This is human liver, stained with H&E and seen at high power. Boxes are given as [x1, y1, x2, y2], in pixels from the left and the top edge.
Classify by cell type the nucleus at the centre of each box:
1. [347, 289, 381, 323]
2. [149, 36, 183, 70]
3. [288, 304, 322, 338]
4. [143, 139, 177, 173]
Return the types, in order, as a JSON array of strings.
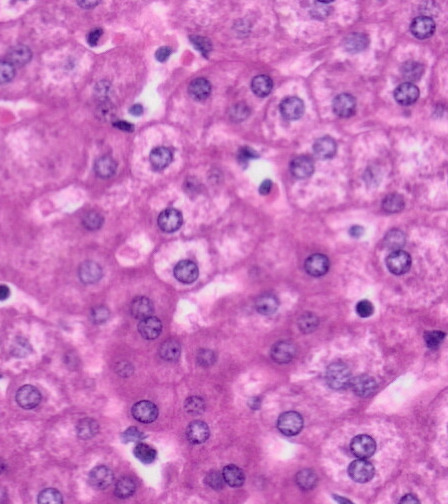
["lymphocyte", "lymphocyte", "hepatocyte", "hepatocyte"]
